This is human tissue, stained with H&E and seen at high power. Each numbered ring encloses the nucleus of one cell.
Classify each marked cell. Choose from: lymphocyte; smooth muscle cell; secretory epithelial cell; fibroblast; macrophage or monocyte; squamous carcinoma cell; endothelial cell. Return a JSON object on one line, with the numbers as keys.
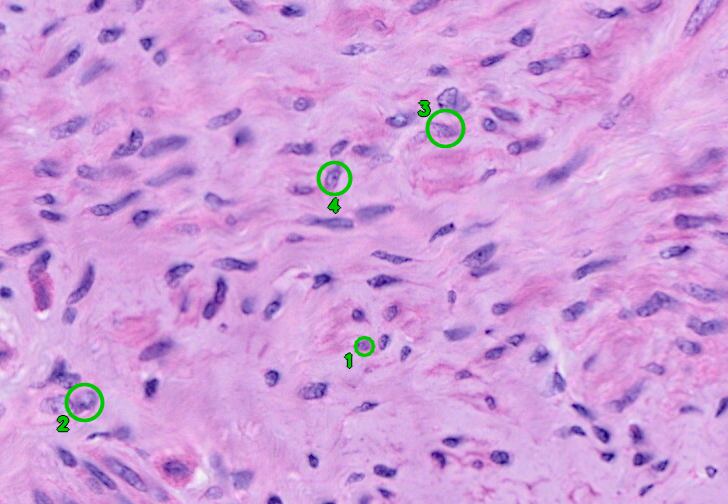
{"1": "smooth muscle cell", "2": "endothelial cell", "3": "smooth muscle cell", "4": "smooth muscle cell"}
